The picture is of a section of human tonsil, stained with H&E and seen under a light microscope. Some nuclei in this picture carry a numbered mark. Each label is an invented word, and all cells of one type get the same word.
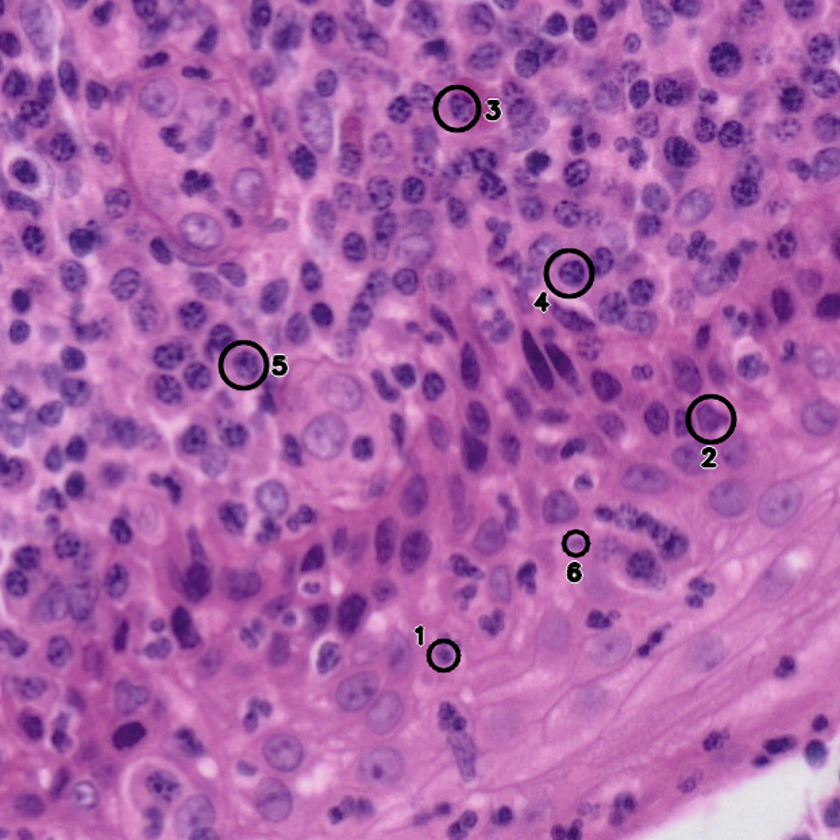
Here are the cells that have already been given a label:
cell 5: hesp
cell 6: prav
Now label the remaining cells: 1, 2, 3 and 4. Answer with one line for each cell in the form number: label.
1: prav
2: prav
3: hesp
4: hesp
